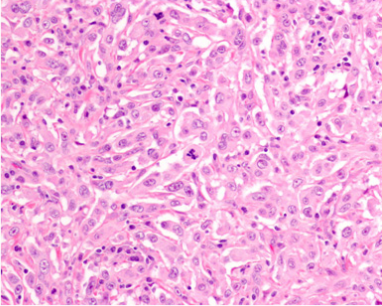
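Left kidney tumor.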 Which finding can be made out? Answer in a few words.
mitotic figures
